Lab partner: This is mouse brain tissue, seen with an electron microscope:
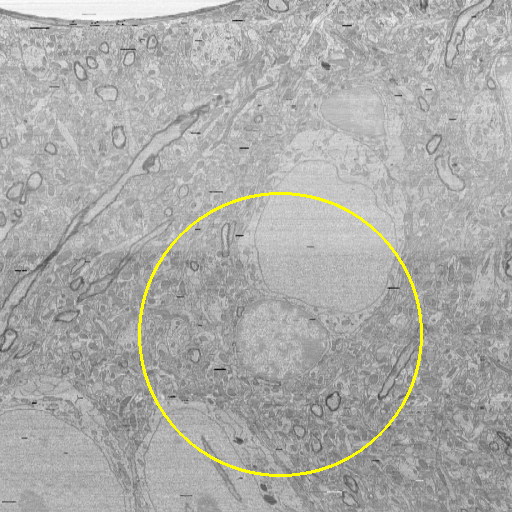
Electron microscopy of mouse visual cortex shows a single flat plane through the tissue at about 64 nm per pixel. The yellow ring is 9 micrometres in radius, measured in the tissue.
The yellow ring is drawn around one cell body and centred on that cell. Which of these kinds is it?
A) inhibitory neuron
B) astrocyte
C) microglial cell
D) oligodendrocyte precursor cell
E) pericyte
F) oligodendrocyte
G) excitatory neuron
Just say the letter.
F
